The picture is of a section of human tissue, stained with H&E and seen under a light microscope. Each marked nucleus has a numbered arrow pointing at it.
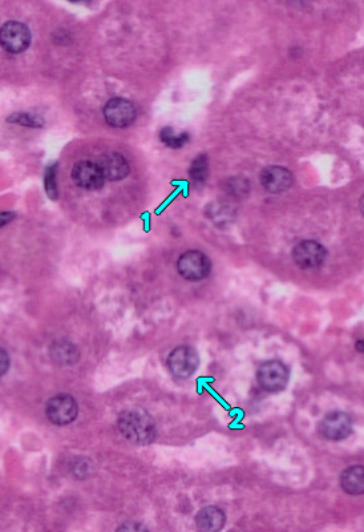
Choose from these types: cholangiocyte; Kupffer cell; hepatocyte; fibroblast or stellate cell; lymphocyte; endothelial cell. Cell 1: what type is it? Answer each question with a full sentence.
Looking at the numbered marks, cell 1 is a fibroblast or stellate cell.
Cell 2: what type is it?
The cell that is numbered 2 is a hepatocyte.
